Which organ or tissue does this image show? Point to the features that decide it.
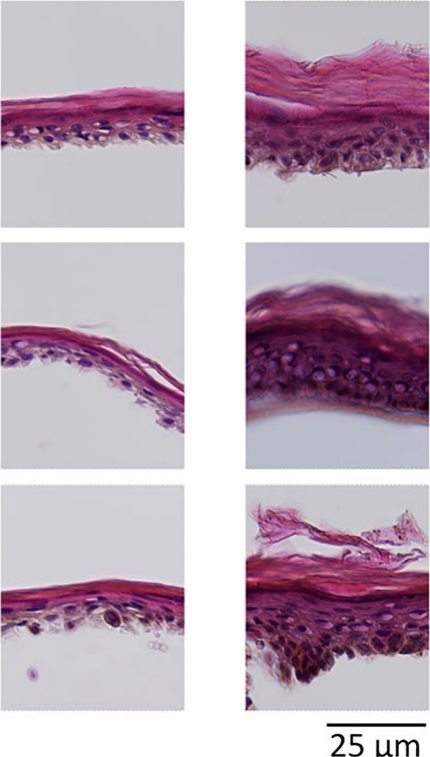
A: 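Epidermis. Thin sheets of stratified tissue made of layers of small nucleated cells. A compact pink, anucleate layered band caps the nucleated cell layers on one side.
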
